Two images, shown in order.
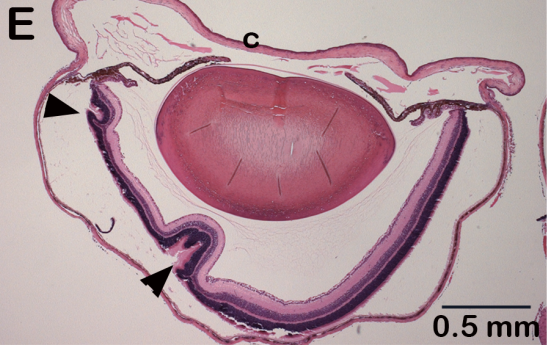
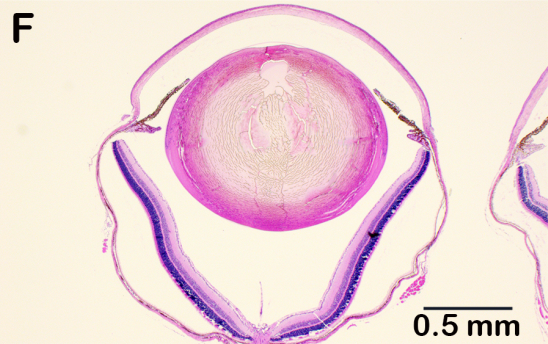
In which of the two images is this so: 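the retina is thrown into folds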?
The first image.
